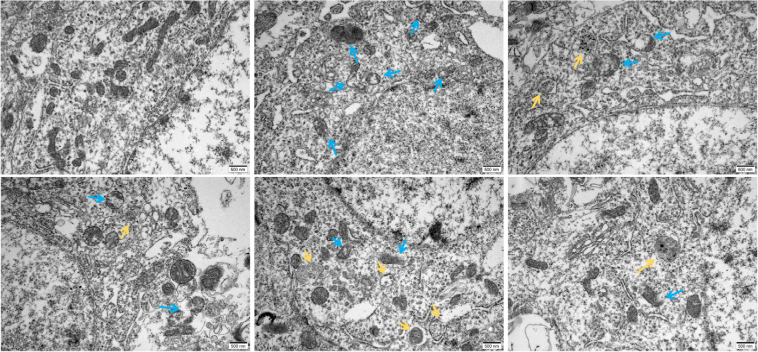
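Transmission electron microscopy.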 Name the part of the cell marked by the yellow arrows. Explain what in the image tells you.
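Autophagosomes and autolysosomes. The yellow arrows point to round membrane-bound vesicles containing dense or heterogeneous material.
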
